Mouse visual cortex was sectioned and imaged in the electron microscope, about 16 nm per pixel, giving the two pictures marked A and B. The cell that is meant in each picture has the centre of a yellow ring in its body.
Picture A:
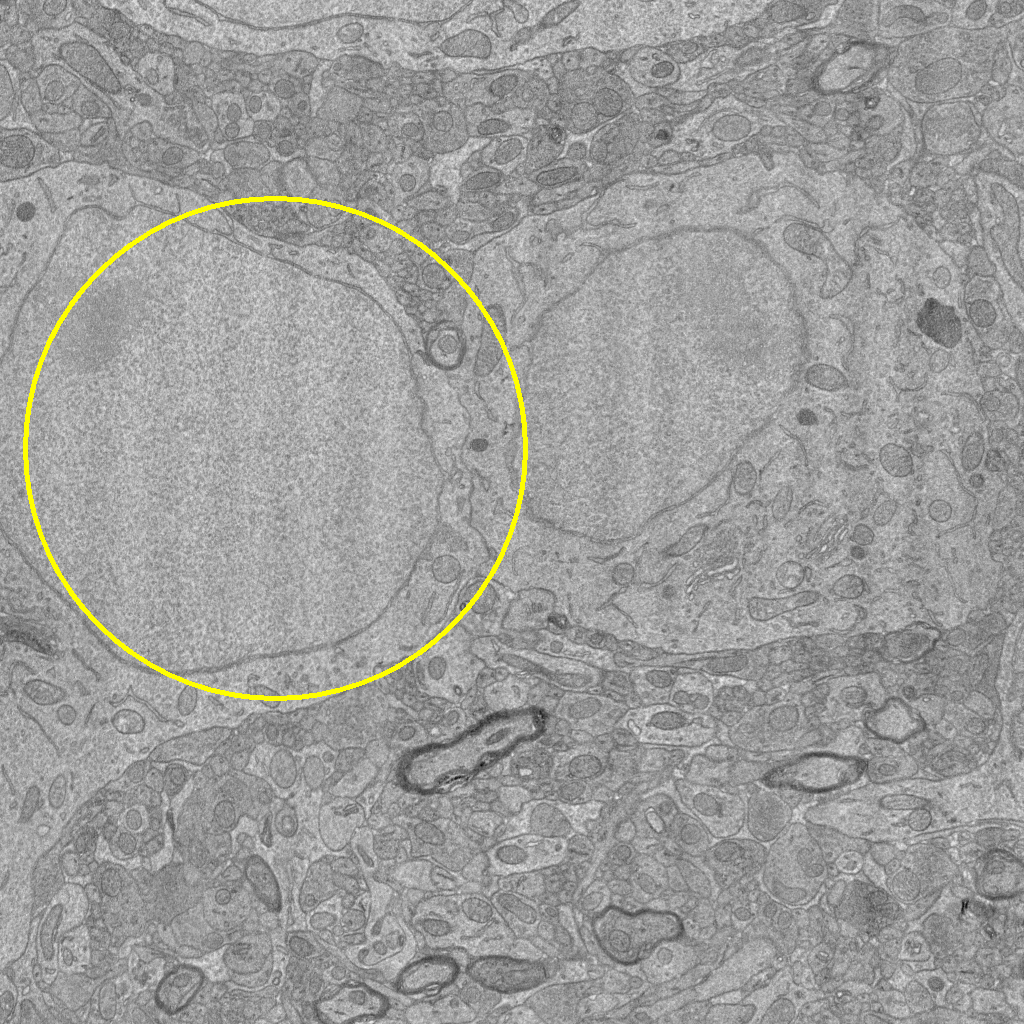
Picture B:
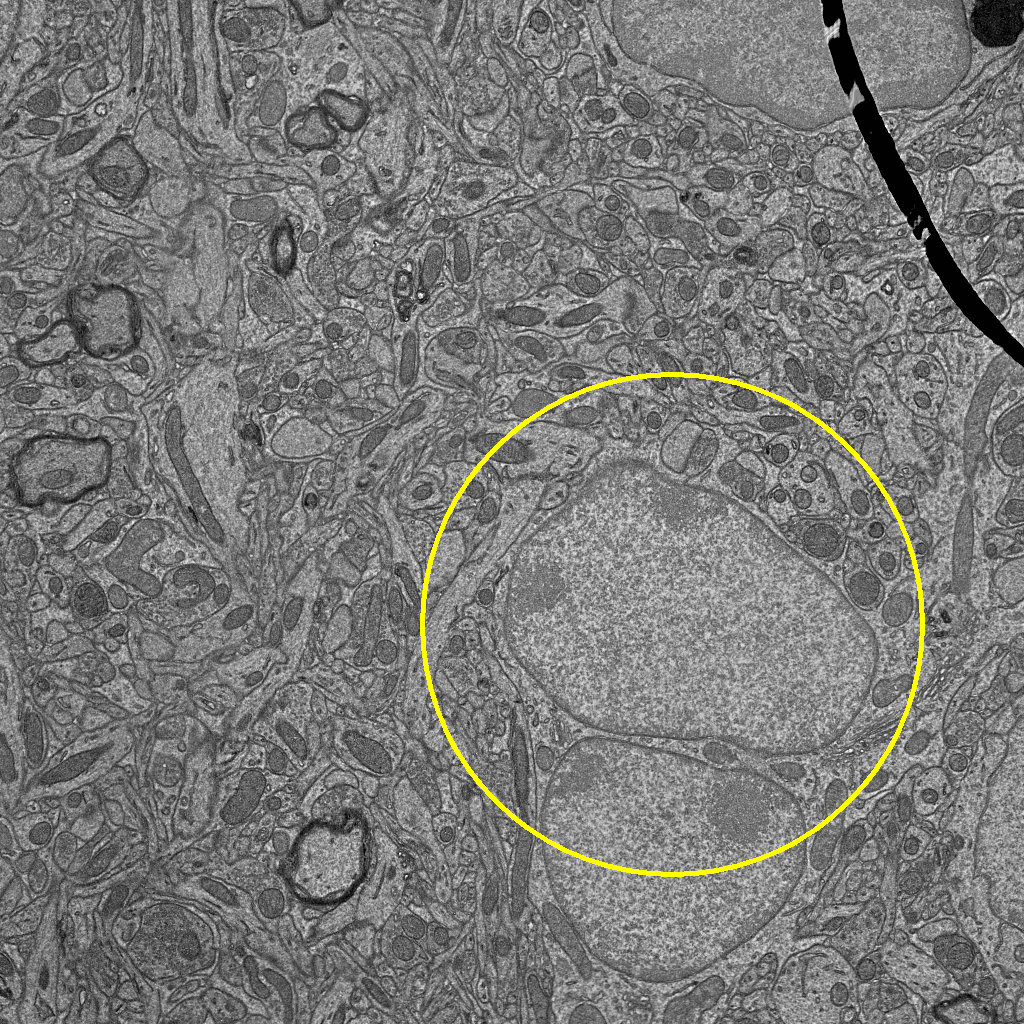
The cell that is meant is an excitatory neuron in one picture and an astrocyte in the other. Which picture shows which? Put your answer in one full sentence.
Picture A shows an excitatory neuron and picture B shows an astrocyte.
